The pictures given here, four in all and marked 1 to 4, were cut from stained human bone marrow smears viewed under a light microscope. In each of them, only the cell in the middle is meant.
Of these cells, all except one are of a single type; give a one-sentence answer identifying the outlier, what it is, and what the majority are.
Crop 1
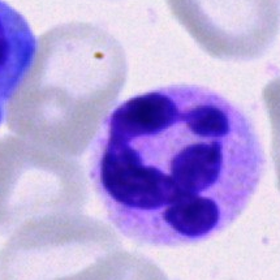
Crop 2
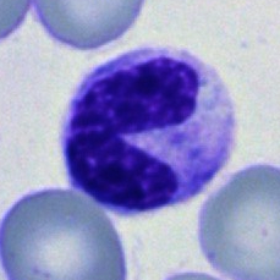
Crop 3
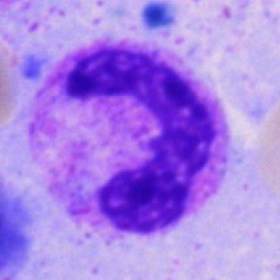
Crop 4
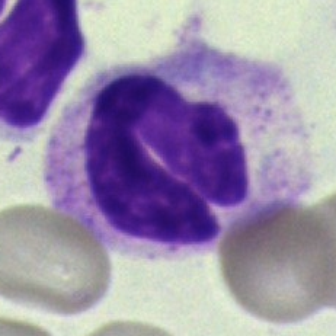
Unlike the other crops, all showing segmented neutrophils, crop 2 is a band neutrophil.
